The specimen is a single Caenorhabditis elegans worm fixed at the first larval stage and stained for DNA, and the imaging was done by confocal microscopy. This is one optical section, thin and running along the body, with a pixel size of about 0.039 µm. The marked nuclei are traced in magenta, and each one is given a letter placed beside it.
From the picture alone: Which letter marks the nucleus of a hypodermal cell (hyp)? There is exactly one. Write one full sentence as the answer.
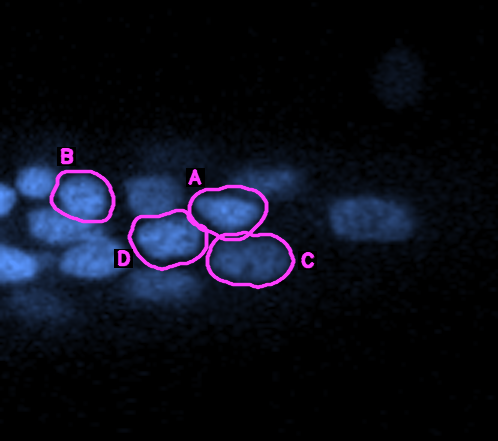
The one from a hypodermal cell (hyp) is D.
